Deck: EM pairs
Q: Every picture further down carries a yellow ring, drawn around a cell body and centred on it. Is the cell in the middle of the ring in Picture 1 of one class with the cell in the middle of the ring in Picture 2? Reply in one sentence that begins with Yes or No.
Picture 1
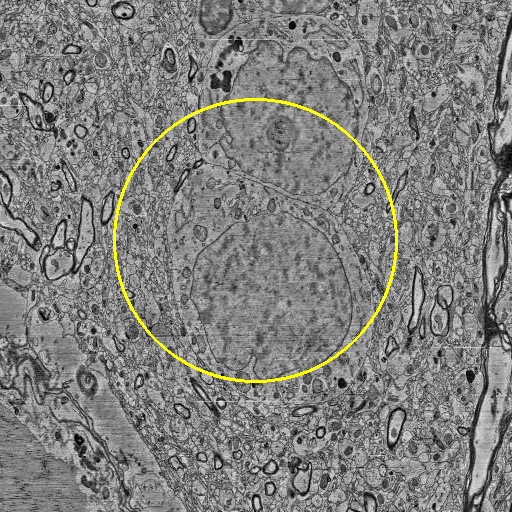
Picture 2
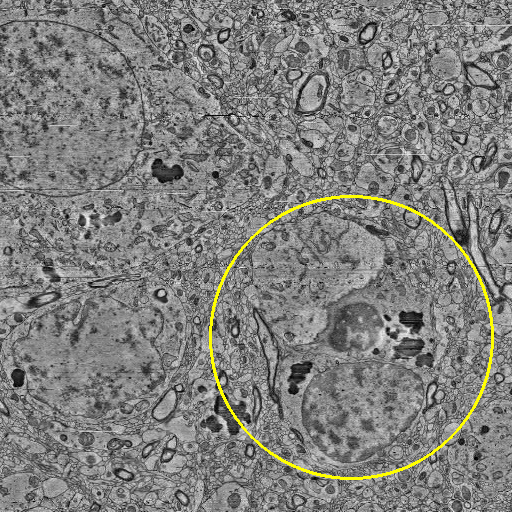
No, the cell centred in the ring of Picture 1 and the one in Picture 2 belong to separate classes.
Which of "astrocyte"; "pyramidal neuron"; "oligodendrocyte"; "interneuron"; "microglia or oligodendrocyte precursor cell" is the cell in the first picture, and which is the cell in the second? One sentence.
The two differ: the first cell is a pyramidal neuron and the second is an oligodendrocyte.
